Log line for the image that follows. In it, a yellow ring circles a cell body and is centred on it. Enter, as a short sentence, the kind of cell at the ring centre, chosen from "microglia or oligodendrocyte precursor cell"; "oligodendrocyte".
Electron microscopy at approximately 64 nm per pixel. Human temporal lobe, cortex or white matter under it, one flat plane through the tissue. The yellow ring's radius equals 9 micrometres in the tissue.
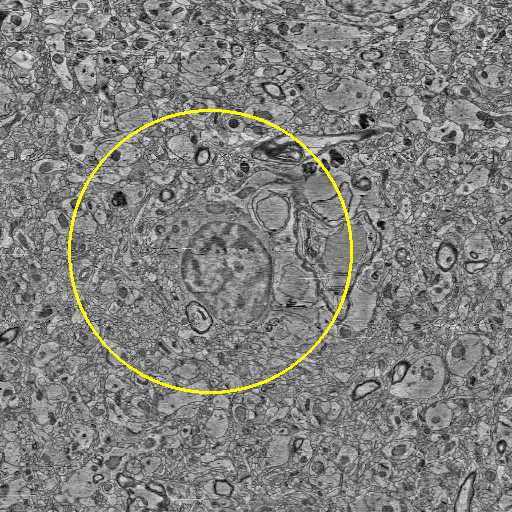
The ring centre is occupied by an oligodendrocyte.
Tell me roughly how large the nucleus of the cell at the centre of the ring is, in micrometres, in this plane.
In this plane the nucleus spans approximately 8 by 6 micrometers.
